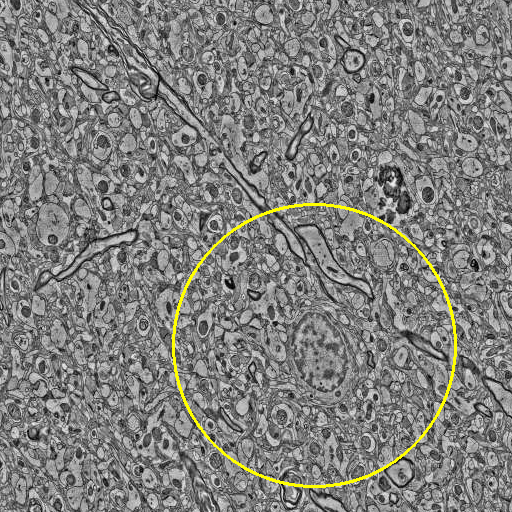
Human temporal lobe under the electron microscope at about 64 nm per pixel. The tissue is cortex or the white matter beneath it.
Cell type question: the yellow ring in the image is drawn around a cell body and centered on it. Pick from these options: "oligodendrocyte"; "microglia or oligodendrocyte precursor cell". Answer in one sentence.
The ringed cell at the center is an oligodendrocyte.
